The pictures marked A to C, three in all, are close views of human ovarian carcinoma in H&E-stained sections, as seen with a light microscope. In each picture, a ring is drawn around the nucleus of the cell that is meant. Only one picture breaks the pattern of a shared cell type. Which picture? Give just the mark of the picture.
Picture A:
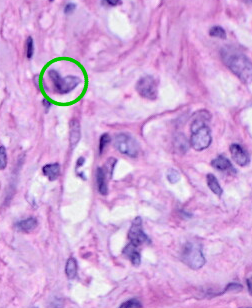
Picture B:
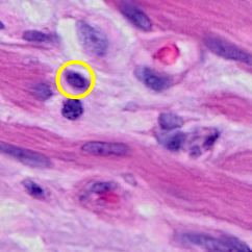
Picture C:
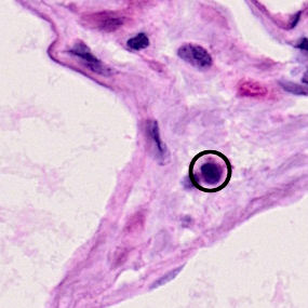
A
